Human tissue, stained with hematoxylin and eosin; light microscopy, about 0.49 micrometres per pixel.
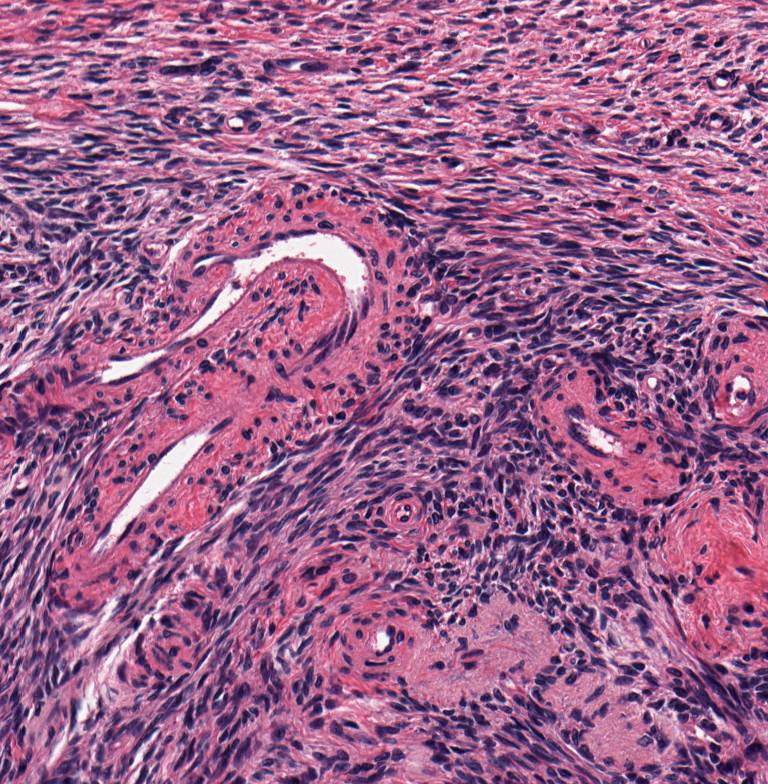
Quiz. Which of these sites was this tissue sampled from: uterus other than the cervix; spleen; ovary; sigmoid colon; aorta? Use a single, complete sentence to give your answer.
Tissue sampled from the ovary forms this section.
